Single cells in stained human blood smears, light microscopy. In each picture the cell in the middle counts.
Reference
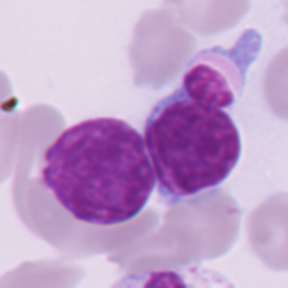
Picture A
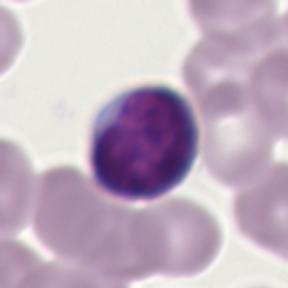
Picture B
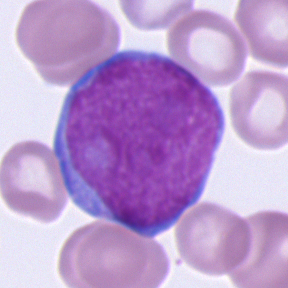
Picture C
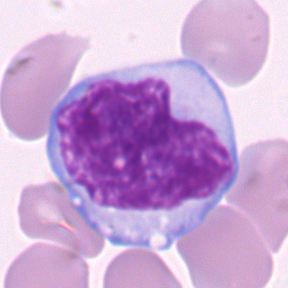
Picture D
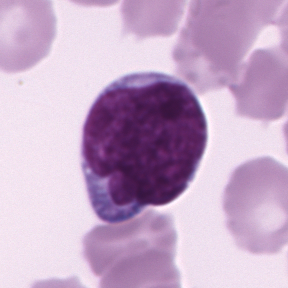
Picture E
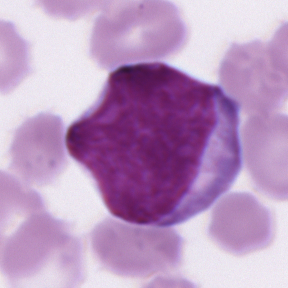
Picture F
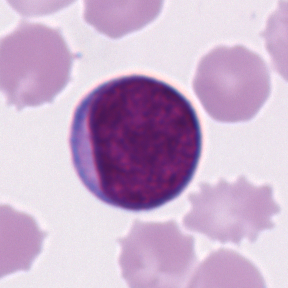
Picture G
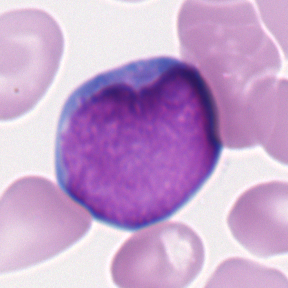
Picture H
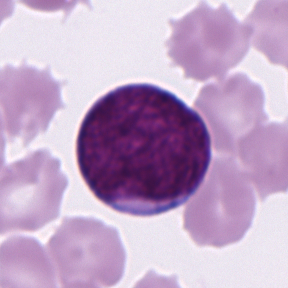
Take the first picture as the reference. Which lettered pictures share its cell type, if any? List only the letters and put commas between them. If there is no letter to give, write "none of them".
B, C, D, E, F, G, H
